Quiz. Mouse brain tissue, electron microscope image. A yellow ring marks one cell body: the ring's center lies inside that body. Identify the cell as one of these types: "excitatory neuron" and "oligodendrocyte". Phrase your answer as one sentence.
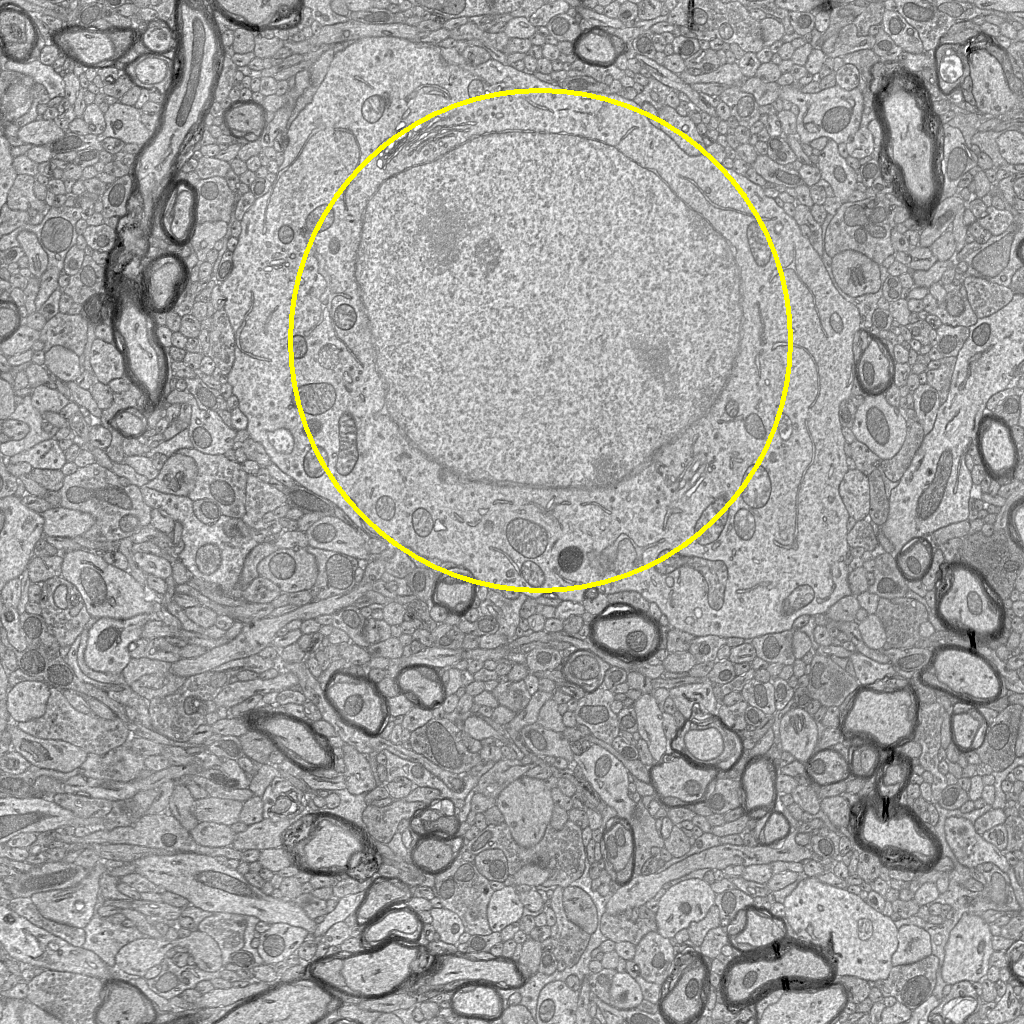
At the center of the ring sits an excitatory neuron.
